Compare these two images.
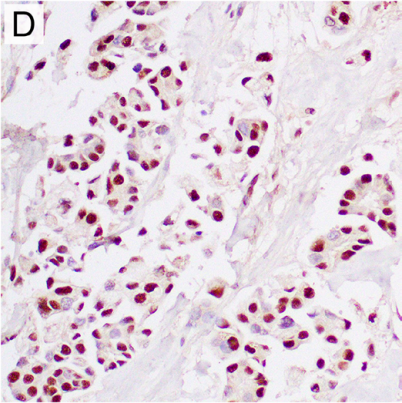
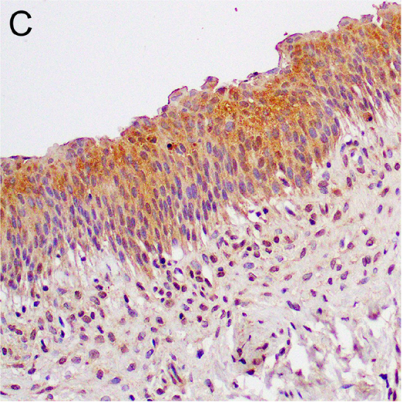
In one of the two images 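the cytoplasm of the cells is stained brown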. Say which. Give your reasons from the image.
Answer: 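First image: the brown stain is confined to the nuclei, the cytoplasm is pale. Second image: the brown stain fills the cell bodies of the epithelial cells around blue nuclei. So: the second image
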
